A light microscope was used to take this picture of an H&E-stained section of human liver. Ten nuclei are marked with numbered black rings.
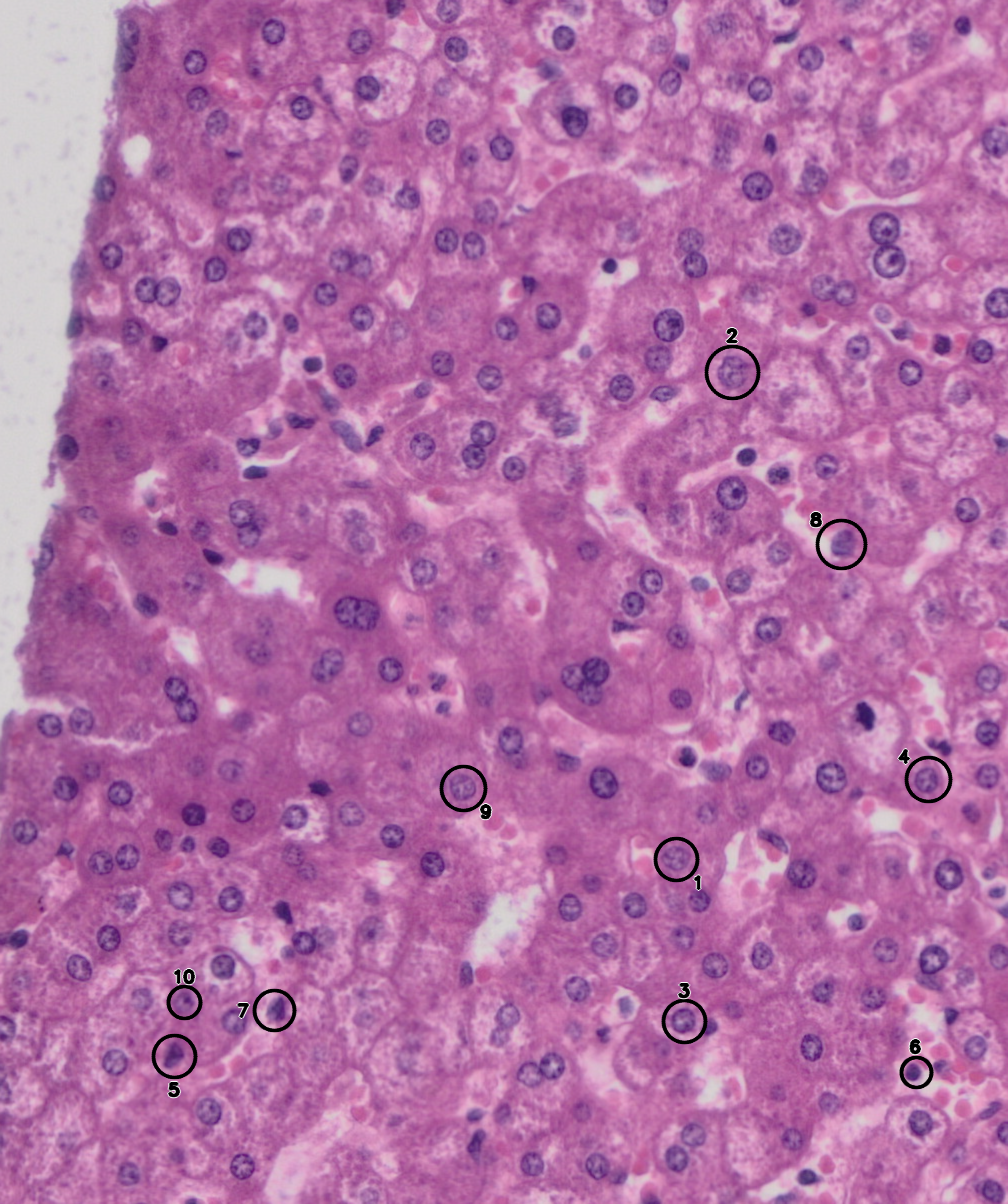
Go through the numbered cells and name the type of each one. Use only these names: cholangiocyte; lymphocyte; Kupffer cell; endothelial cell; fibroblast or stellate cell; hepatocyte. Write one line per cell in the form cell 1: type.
cell 1: hepatocyte
cell 2: hepatocyte
cell 3: hepatocyte
cell 4: hepatocyte
cell 5: endothelial cell
cell 6: lymphocyte
cell 7: endothelial cell
cell 8: endothelial cell
cell 9: hepatocyte
cell 10: hepatocyte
